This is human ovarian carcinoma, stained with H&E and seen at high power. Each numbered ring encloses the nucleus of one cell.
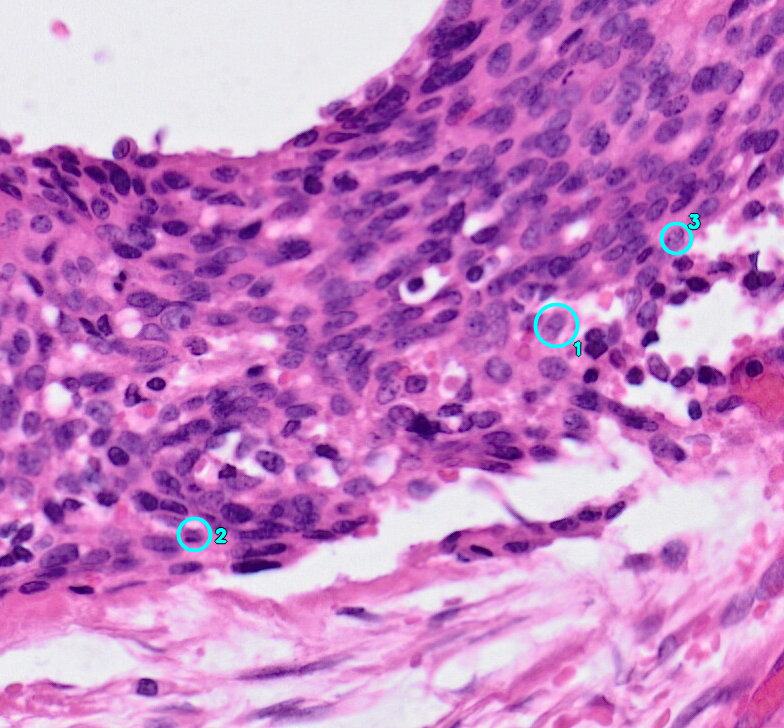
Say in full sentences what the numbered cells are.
Cell 1 is a carcinoma cell. Cells 2 and 3 are macrophages or monocytes.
